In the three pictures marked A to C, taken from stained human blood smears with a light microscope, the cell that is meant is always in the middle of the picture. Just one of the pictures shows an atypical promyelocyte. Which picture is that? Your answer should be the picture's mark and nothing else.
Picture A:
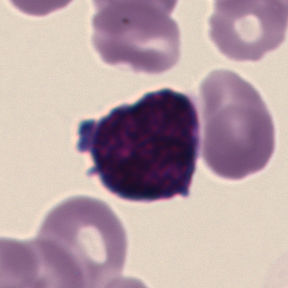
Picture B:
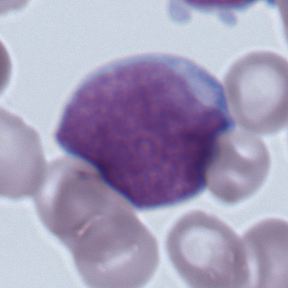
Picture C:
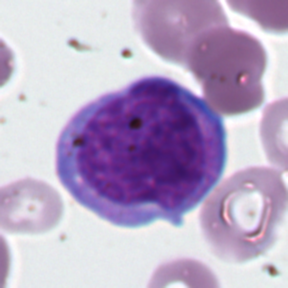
C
